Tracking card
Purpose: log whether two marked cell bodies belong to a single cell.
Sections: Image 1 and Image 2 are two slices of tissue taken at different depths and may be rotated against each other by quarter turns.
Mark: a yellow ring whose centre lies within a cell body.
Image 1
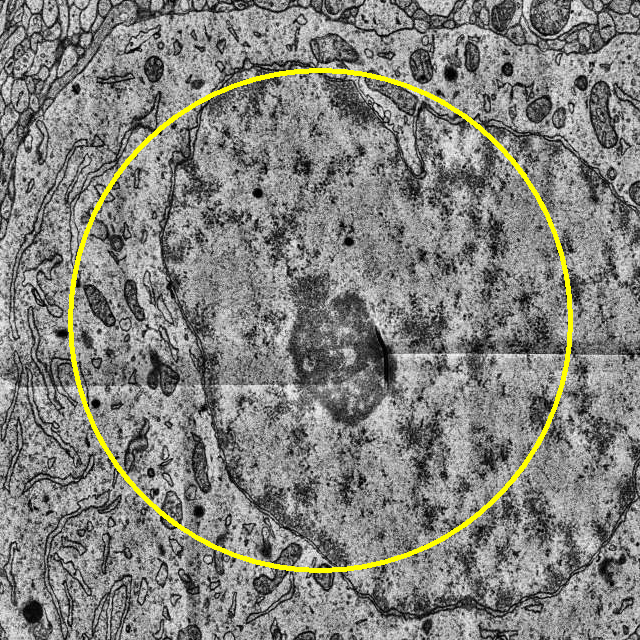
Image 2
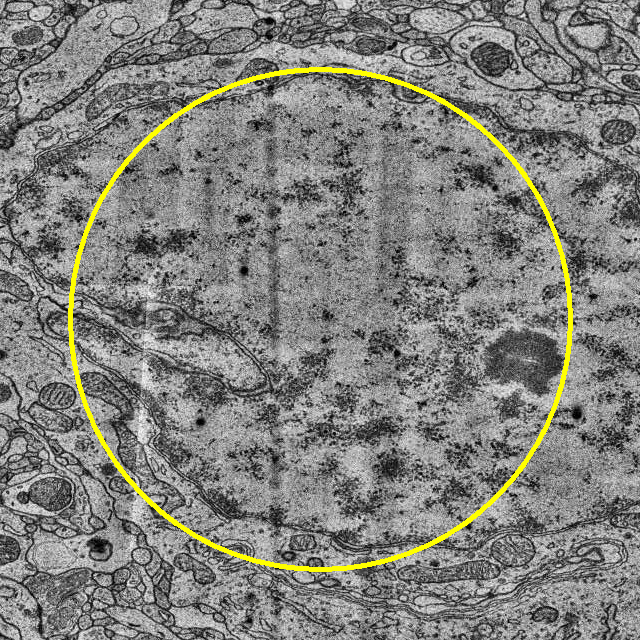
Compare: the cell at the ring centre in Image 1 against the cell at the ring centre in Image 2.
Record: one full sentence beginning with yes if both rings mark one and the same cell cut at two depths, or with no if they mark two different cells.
No, the rings do not mark the same cell.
